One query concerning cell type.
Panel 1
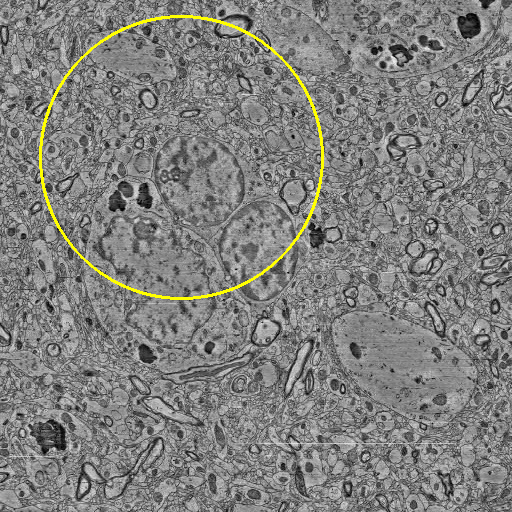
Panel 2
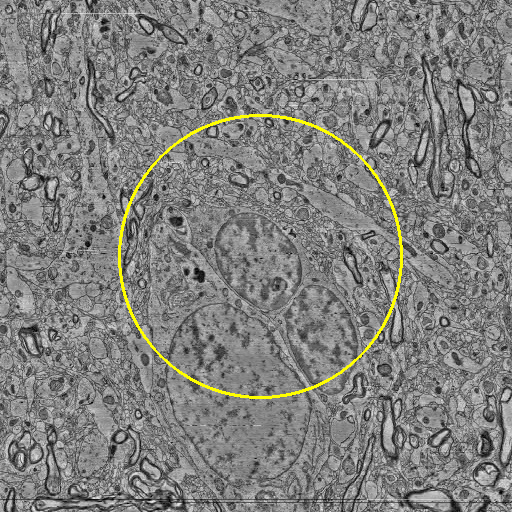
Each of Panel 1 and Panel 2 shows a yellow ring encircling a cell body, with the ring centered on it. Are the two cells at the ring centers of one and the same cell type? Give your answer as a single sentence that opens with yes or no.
Yes, the cell centered in Panel 1 and the one in Panel 2 share a type.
